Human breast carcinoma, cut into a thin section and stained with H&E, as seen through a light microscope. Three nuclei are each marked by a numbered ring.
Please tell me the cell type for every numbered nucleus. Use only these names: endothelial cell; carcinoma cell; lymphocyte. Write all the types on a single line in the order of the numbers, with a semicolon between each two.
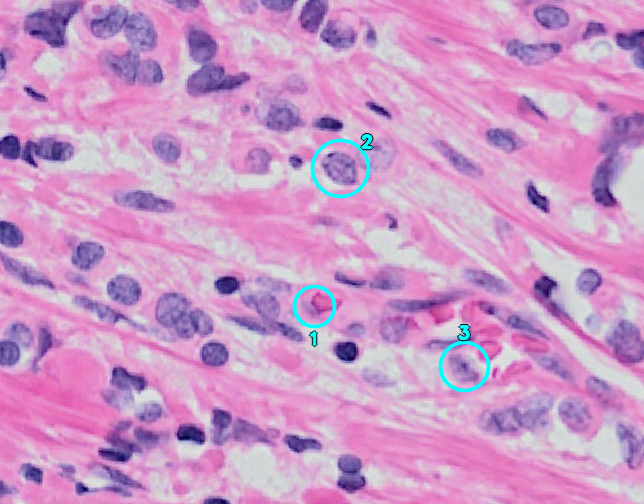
endothelial cell; carcinoma cell; endothelial cell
